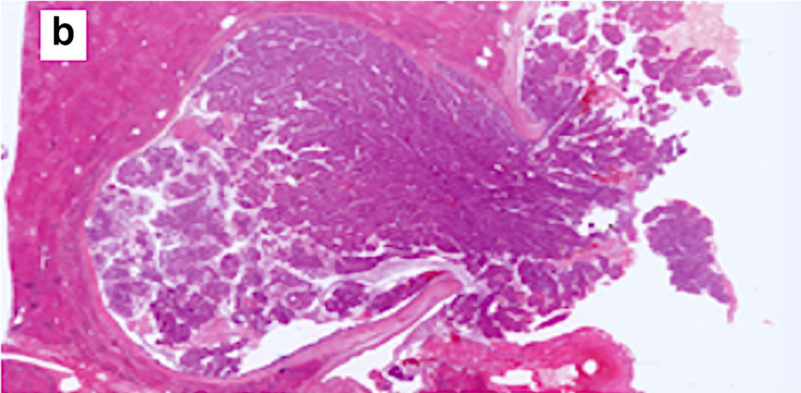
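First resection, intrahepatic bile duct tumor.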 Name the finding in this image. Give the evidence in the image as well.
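A dilated, walled space is filled with branching fronds of dense purple epithelium. Fronds spill out of the opening of the space.
Hence: Complex papillary or tubular proliferation.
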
